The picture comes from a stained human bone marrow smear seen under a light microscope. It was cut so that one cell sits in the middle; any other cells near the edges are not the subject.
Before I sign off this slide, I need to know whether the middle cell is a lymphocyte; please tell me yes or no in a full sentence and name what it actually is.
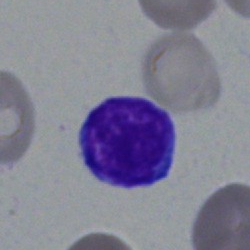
Yes, the cell under consideration, the one in the middle, is a lymphocyte.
